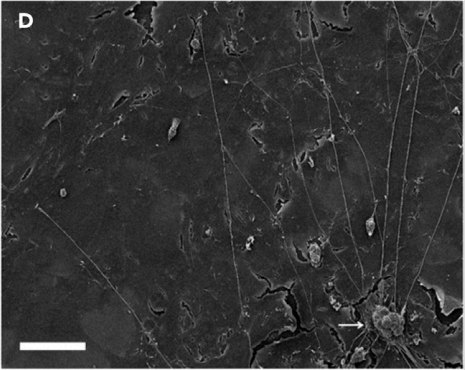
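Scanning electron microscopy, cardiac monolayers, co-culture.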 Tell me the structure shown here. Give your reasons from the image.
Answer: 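Many very thin, long fibres fan out across the whole field. The fibres converge toward a small rounded cell body near the lower right.
Hence: wide spreading neurite extensions.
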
